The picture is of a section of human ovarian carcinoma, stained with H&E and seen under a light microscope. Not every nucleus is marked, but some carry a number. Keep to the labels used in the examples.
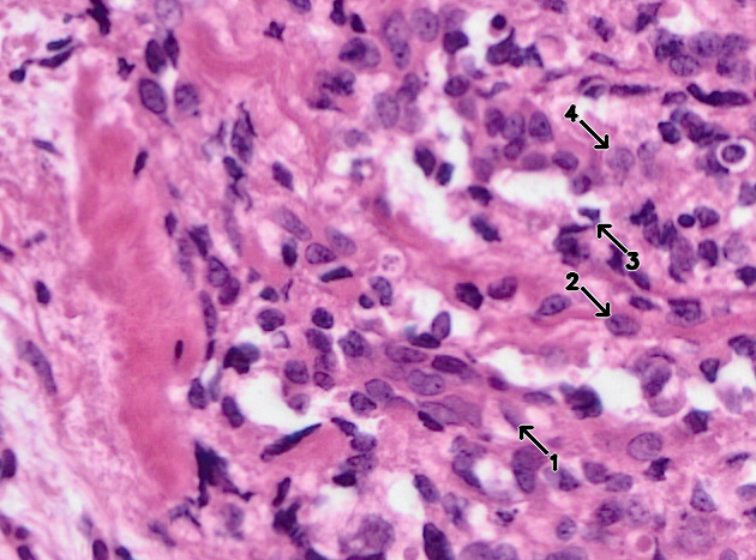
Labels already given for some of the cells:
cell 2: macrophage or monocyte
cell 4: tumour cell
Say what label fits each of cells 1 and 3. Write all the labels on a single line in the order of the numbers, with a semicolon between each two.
macrophage or monocyte; tumour cell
